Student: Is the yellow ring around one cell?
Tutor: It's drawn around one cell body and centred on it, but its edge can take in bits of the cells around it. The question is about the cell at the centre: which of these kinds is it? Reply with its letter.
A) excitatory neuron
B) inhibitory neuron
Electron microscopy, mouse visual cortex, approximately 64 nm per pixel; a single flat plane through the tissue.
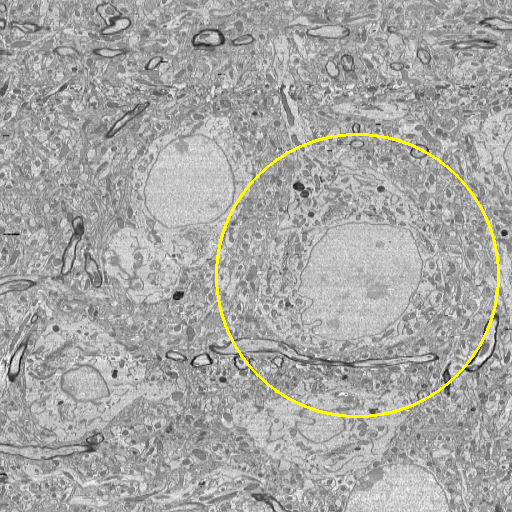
B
